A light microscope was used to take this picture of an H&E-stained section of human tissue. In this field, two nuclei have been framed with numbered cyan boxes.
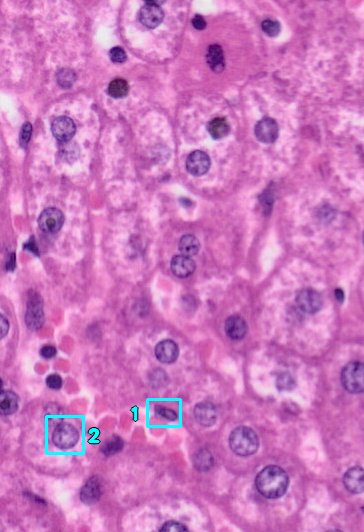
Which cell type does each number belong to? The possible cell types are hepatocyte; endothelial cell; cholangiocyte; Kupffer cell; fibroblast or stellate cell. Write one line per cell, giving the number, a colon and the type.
1: endothelial cell
2: hepatocyte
